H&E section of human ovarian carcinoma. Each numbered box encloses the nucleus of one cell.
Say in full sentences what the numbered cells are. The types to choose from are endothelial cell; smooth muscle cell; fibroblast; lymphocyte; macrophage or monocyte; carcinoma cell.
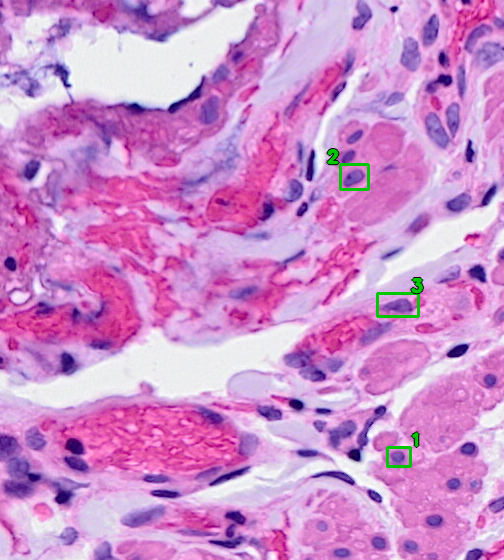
Cells 1 and 2 are smooth muscle cells. Cell 3 is an endothelial cell.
